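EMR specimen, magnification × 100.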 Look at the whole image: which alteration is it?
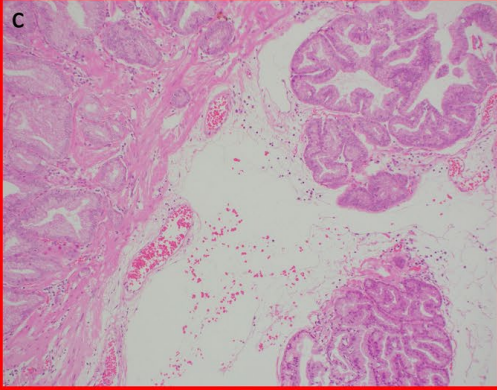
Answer: submucosal invasion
